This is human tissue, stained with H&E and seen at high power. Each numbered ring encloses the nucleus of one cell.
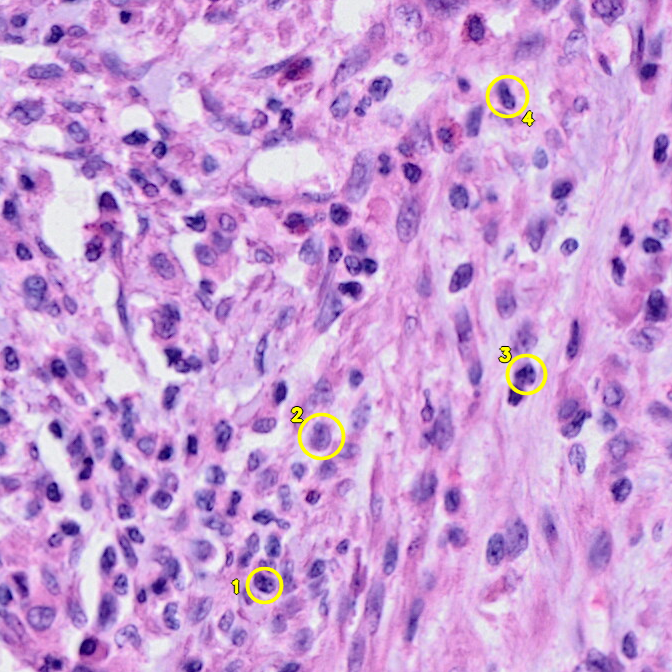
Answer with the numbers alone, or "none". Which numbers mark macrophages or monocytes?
2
